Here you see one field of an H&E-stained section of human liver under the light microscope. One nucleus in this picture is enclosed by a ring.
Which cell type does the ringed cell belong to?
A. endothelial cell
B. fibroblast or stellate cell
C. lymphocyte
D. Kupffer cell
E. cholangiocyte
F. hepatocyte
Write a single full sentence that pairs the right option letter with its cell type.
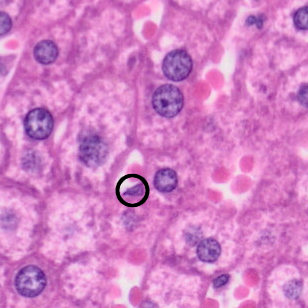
The correct identification, the ringed cell as an endothelial cell, is given by option A.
